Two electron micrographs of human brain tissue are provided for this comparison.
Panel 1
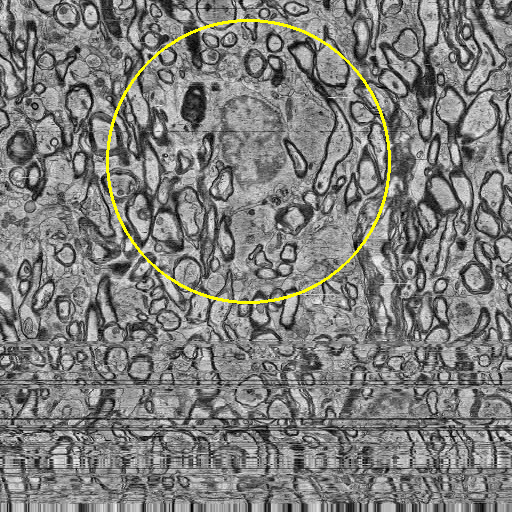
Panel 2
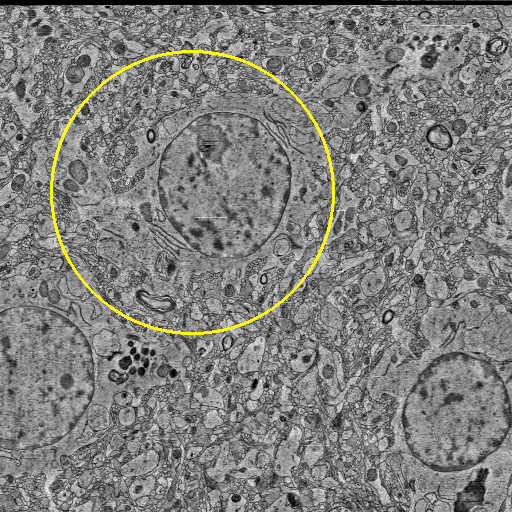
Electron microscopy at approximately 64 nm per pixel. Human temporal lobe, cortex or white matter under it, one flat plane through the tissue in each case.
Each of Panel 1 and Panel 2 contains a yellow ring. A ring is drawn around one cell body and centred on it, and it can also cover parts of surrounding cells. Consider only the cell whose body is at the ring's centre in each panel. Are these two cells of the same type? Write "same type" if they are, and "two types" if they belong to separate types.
two types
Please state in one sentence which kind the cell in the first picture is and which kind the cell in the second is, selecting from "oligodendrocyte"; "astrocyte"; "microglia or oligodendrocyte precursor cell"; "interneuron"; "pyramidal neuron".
The first ringed cell is an oligodendrocyte, the second ringed cell an astrocyte.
